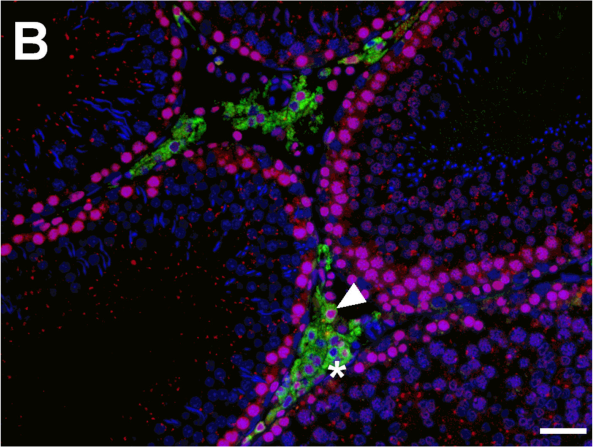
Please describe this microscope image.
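This is a section of testis showing Leydig cells clustered in the interstitial space where several seminiferous tubules meet. The Leydig cells have abundant green cytoplasm surrounding round nuclei, and some of these nuclei are red-magenta while others are only blue. Around the tubules, a row of bright red-magenta nuclei lines the outer edge of each tubule wall. Deeper inside the tubules the nuclei are mostly blue, with elongated blue profiles toward the lumen. The green cells form irregular groups wedged between the curved outlines of the tubules.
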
